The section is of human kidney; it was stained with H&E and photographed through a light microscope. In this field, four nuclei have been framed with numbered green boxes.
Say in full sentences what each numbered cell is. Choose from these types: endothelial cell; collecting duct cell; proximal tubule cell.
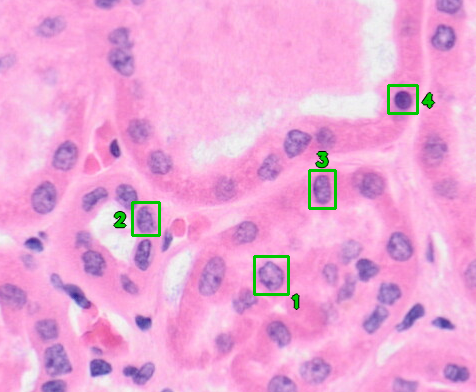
Cells 1, 3 and 4 are proximal tubule cells. Cell 2 is a collecting duct cell.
